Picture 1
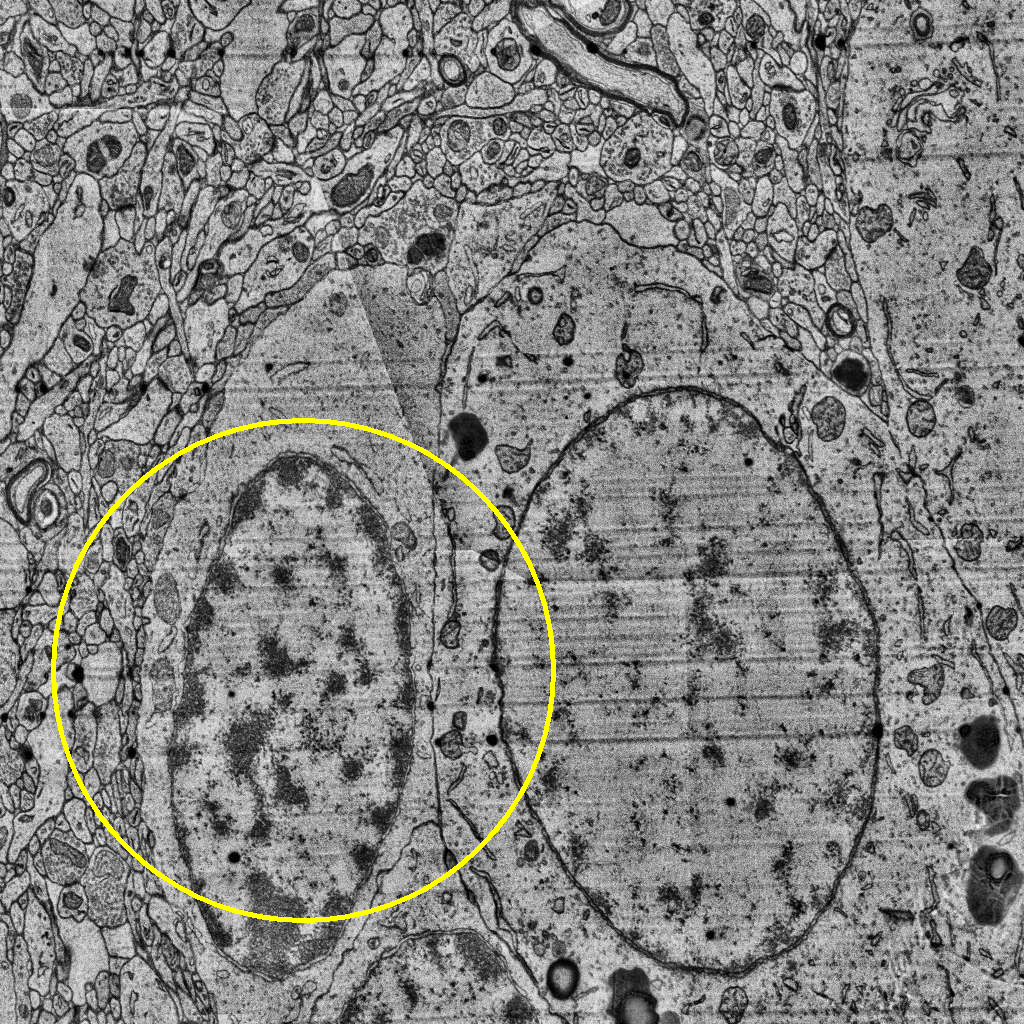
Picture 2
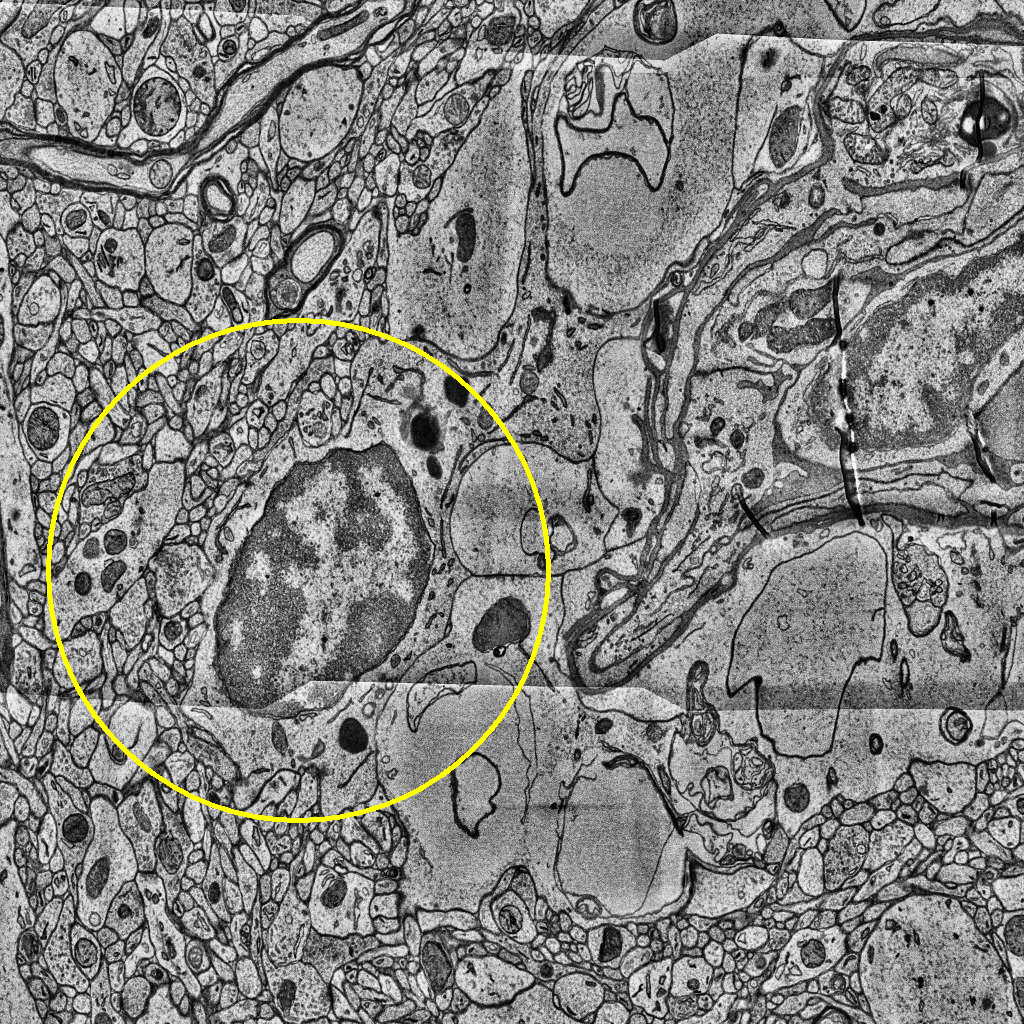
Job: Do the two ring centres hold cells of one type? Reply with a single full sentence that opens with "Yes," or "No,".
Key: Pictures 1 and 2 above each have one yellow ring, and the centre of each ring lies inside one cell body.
Yes, the cells at the two ring centres are of one single type.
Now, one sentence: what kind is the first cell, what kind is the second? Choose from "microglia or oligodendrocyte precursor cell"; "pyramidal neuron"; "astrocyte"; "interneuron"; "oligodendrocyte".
Each cell, in the first picture and the second, is a microglial cell or oligodendrocyte precursor cell.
